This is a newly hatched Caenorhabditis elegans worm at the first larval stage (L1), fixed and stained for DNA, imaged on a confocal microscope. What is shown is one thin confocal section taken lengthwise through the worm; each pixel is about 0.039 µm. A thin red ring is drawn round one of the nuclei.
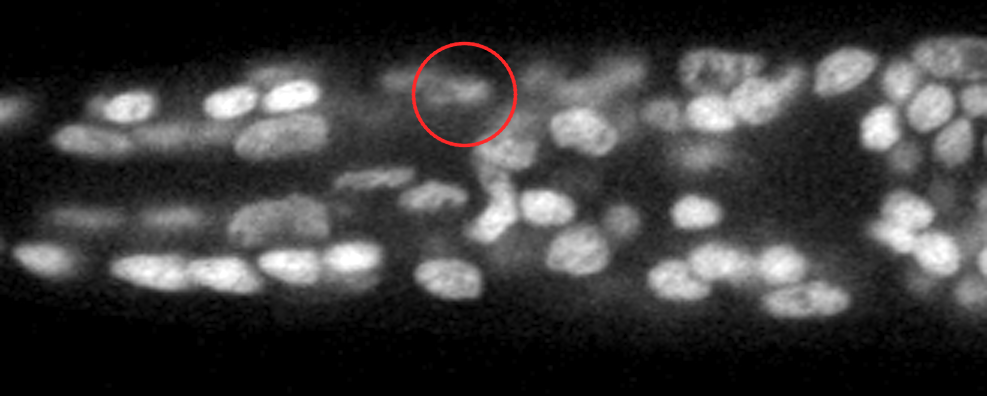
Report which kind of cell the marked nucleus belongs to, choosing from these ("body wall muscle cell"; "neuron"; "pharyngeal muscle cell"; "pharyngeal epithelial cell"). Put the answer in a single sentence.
This is the nucleus of a body wall muscle cell.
